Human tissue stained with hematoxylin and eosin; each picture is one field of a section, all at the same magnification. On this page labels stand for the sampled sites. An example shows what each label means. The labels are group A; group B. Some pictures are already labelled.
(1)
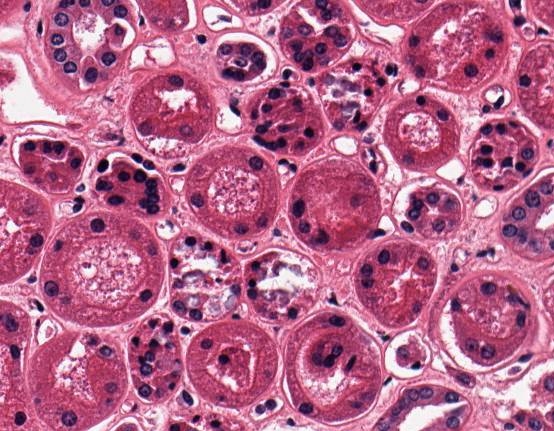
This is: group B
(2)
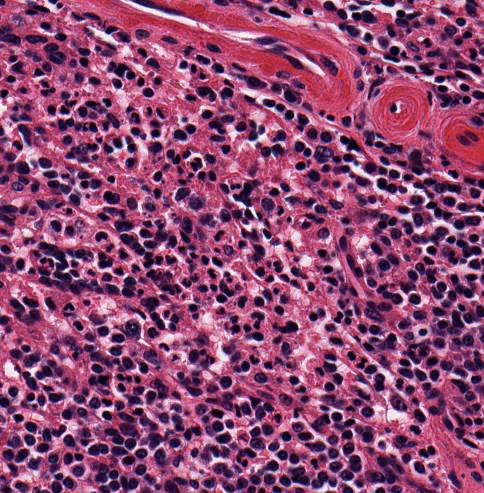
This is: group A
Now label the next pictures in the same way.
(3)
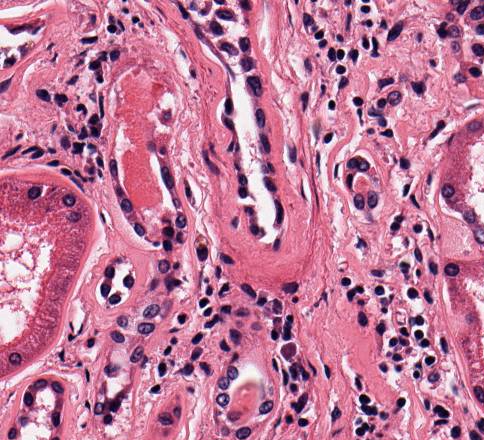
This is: group B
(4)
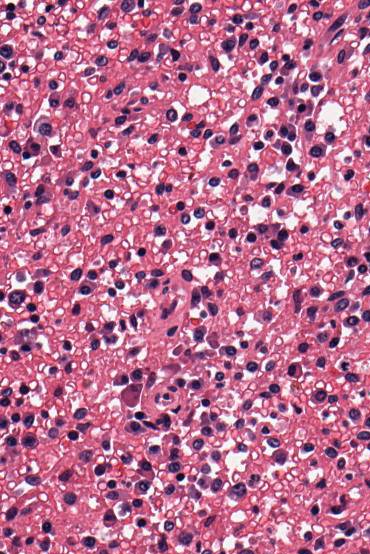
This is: group A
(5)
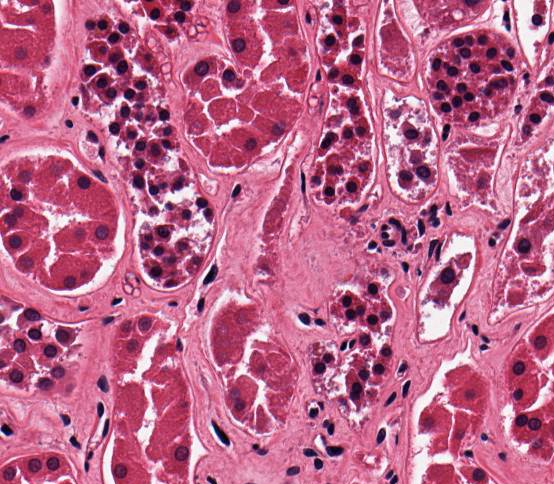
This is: group B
